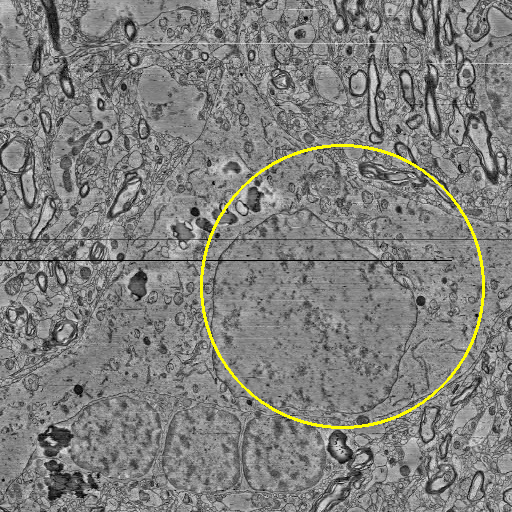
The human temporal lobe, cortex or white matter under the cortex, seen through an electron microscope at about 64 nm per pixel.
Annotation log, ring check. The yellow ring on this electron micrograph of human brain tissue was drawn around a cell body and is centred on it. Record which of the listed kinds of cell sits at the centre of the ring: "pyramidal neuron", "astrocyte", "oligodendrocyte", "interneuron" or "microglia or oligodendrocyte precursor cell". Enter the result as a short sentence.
The cell at the centre of the ring is a pyramidal neuron.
